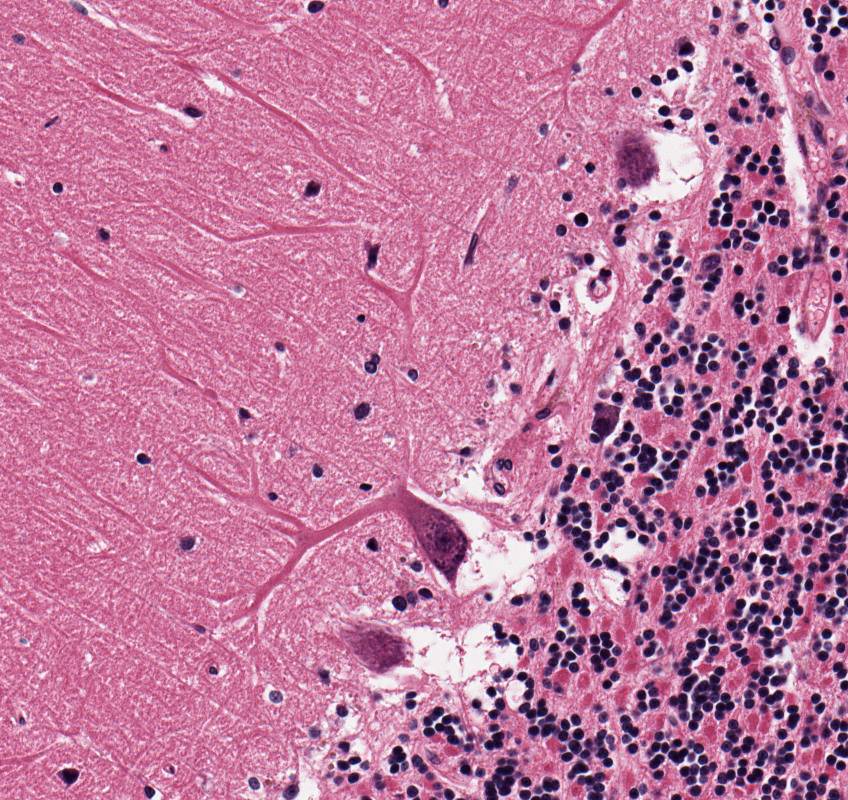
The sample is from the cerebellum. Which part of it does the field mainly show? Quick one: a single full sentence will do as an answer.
This tissue section is a view of molecular layer.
